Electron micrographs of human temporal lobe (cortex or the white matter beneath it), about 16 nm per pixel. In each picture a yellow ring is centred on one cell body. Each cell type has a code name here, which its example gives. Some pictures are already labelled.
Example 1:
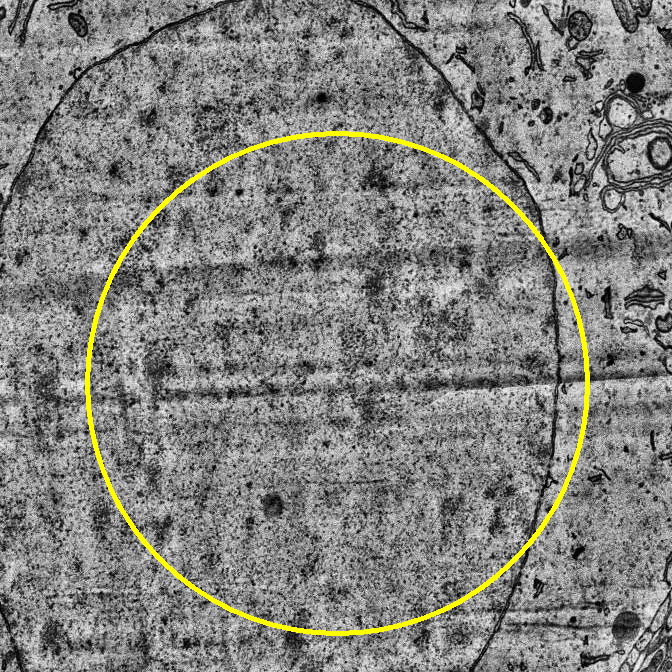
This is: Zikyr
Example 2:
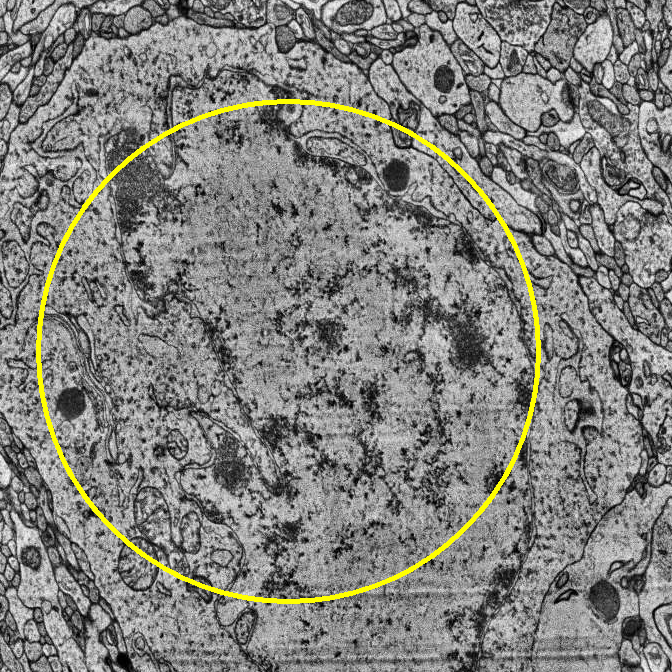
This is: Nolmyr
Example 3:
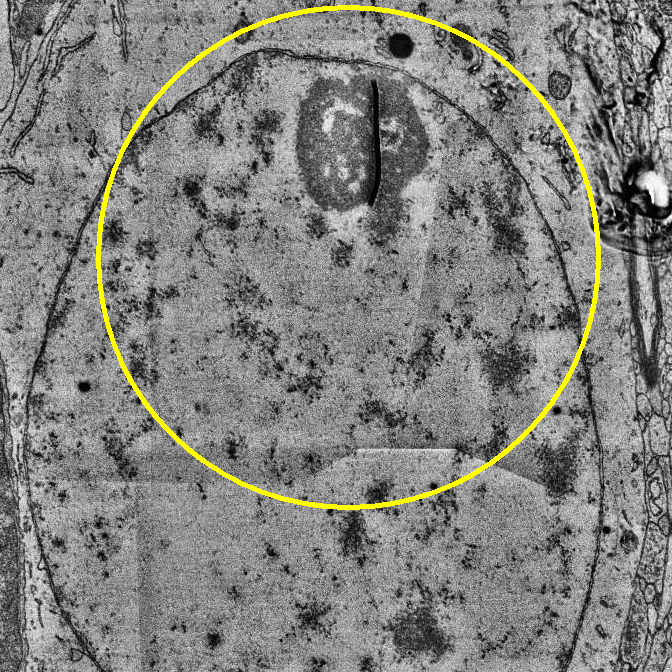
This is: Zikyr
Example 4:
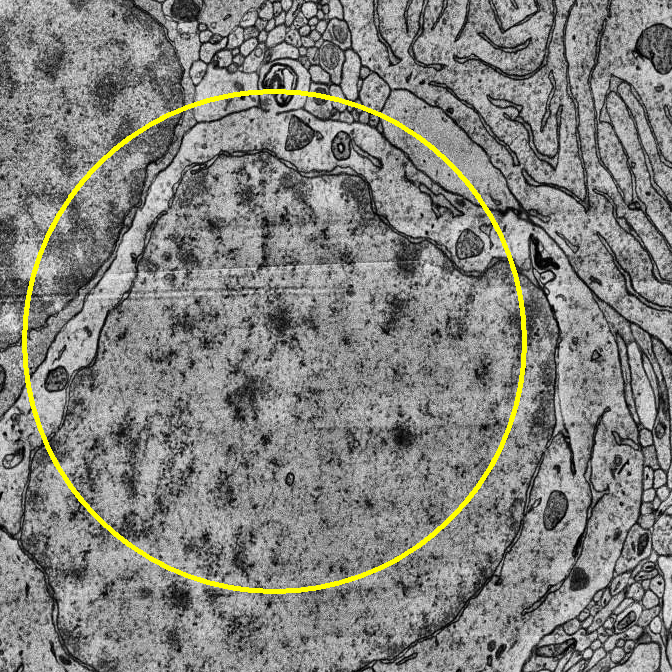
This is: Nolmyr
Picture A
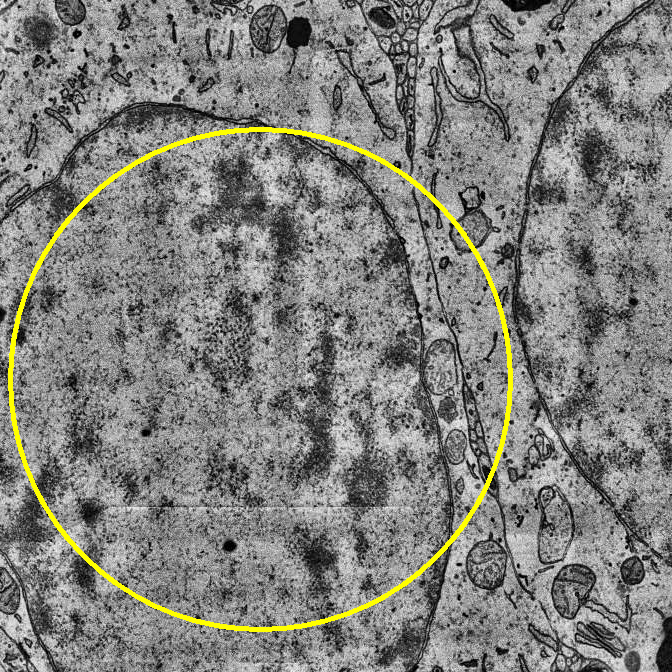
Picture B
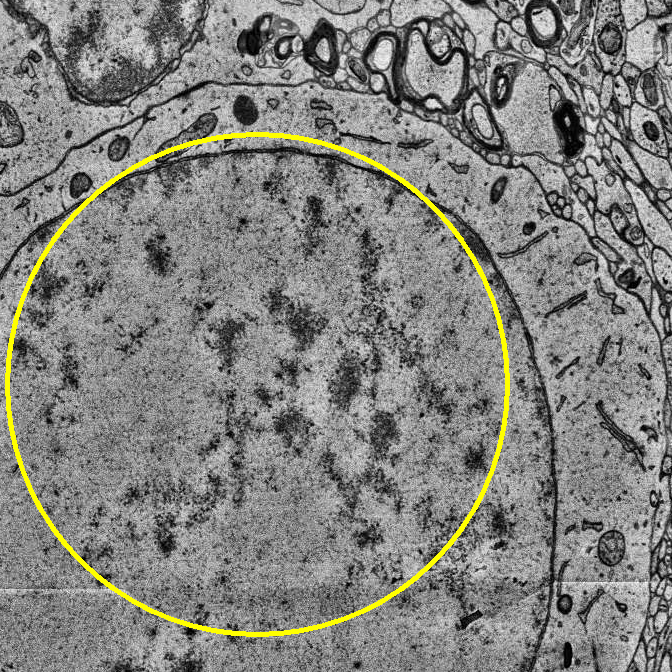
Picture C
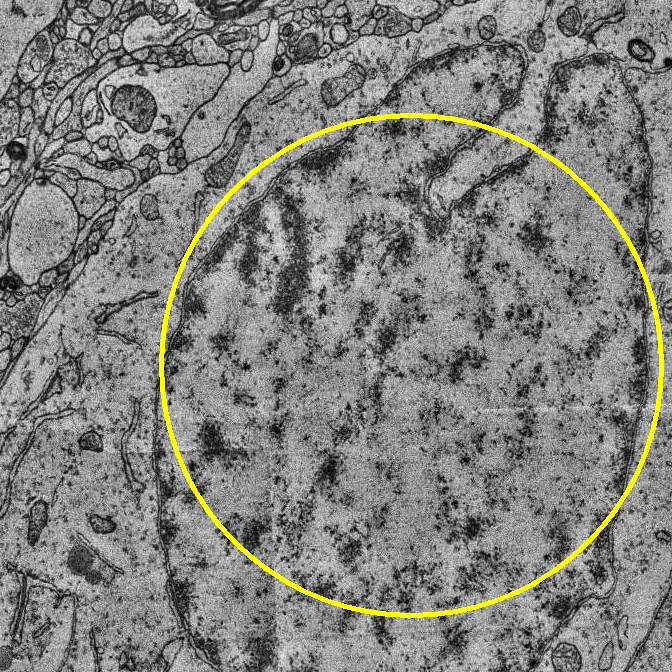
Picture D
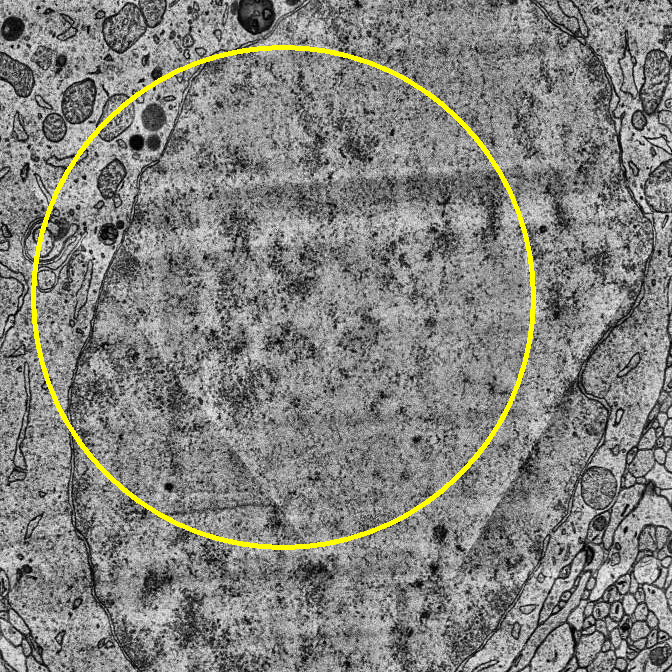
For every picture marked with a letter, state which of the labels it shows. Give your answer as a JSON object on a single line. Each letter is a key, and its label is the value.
{"A": "Nolmyr", "B": "Zikyr", "C": "Nolmyr", "D": "Nolmyr"}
